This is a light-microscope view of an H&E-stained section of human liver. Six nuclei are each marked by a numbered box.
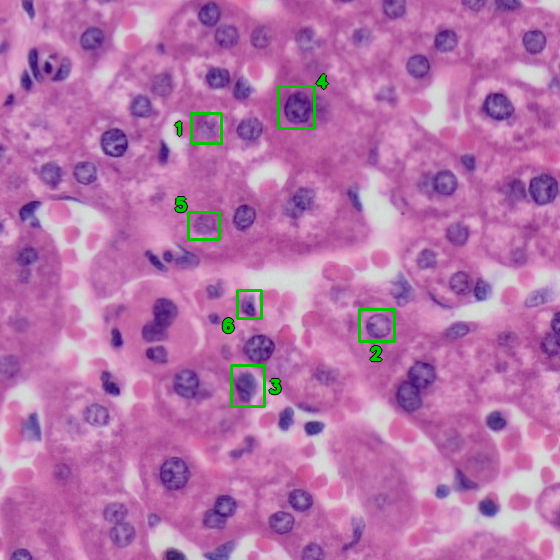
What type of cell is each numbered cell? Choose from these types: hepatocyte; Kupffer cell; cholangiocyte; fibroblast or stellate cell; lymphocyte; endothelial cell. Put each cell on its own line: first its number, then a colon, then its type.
1: hepatocyte
2: hepatocyte
3: endothelial cell
4: hepatocyte
5: hepatocyte
6: fibroblast or stellate cell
